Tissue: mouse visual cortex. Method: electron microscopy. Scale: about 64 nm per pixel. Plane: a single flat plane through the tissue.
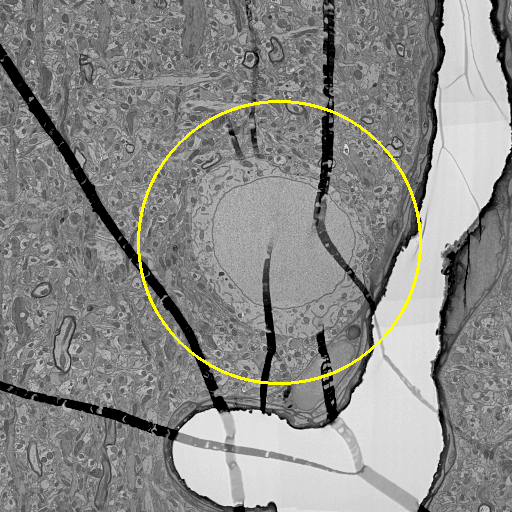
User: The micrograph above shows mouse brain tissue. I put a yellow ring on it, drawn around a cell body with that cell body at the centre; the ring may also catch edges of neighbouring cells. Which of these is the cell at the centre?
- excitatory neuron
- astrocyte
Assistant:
excitatory neuron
